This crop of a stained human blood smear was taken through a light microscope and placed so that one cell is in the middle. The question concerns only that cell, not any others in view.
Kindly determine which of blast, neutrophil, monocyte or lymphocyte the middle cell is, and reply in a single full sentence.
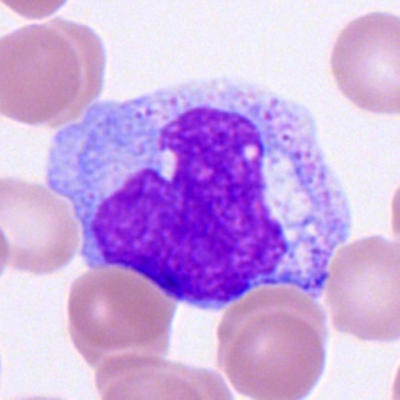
Whatever else lies nearby, the middle cell is a monocyte.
